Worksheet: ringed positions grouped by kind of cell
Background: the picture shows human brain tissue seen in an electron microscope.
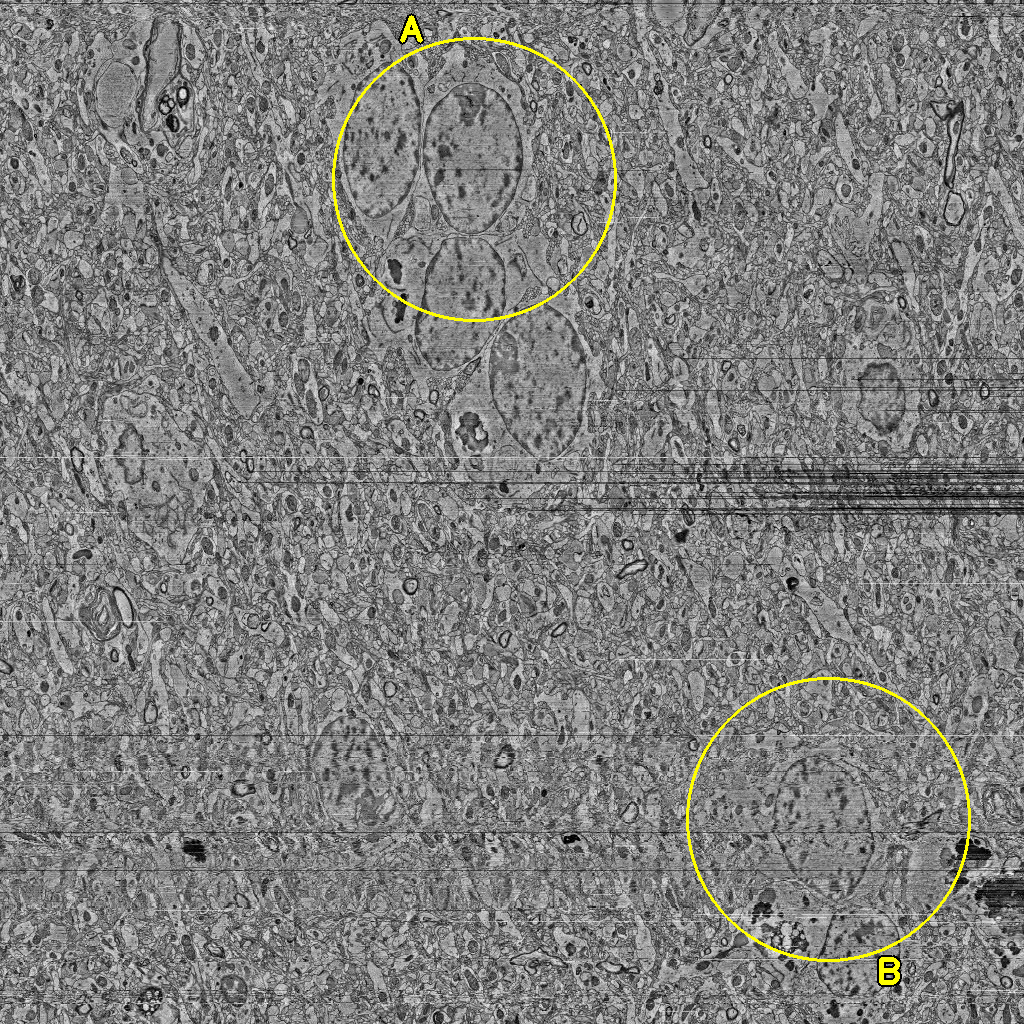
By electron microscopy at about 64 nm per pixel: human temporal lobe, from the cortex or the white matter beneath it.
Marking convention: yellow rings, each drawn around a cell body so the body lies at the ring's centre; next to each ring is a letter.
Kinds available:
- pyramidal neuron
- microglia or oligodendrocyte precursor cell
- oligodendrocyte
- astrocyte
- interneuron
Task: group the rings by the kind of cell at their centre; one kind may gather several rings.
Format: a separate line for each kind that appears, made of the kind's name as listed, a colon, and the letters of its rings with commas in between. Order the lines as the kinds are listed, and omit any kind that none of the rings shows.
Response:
astrocyte: A, B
